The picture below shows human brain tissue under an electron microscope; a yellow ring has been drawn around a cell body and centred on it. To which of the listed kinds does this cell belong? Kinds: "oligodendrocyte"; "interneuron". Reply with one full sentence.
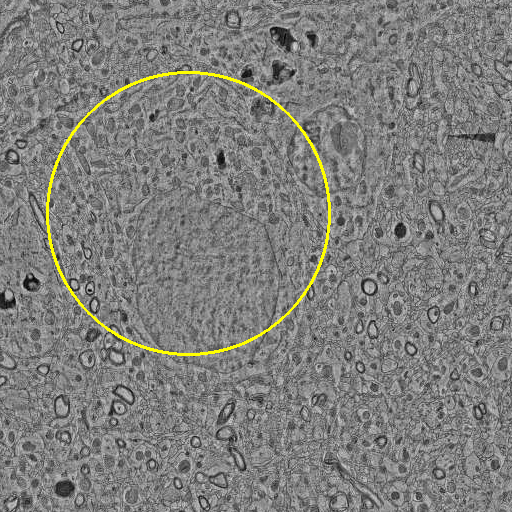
It is an interneuron that the yellow ring in the picture is centred on.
